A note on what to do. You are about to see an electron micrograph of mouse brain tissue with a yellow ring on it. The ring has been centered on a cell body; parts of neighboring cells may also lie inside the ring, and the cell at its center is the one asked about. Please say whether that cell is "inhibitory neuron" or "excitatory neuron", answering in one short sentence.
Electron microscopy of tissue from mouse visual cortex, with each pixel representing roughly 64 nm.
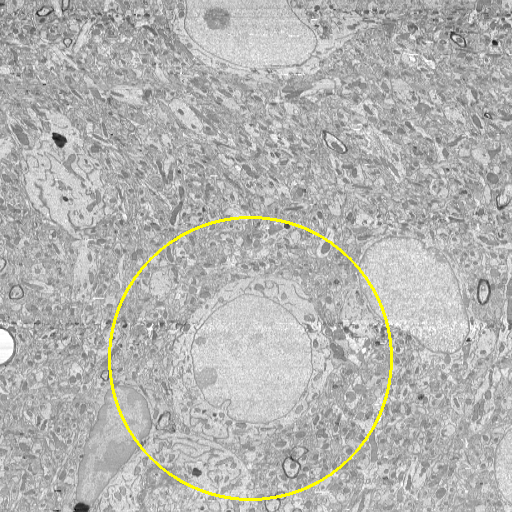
The yellow ring sits on an excitatory neuron.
